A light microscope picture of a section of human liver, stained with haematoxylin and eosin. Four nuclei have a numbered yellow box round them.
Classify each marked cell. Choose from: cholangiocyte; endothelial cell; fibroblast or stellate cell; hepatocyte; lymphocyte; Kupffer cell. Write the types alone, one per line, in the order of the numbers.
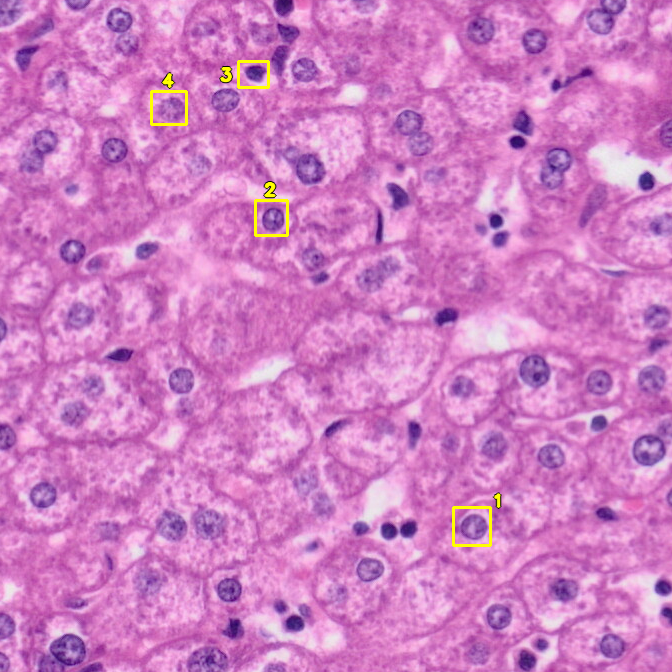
hepatocyte
hepatocyte
lymphocyte
hepatocyte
